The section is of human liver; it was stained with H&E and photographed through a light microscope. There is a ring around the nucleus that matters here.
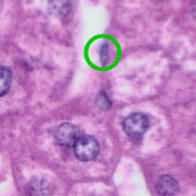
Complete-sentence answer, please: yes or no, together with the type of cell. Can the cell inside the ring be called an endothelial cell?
Yes, the cell inside the ring is properly regarded as an endothelial cell.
